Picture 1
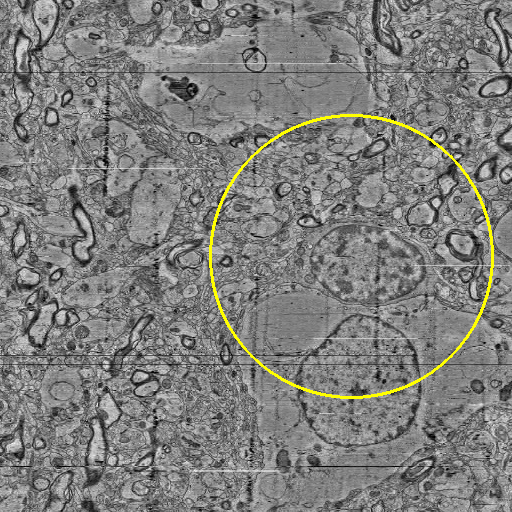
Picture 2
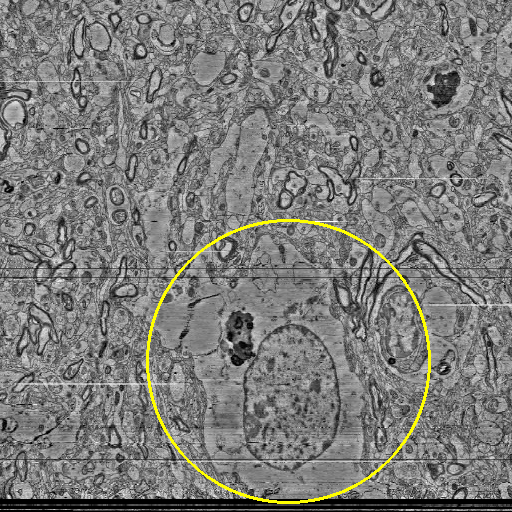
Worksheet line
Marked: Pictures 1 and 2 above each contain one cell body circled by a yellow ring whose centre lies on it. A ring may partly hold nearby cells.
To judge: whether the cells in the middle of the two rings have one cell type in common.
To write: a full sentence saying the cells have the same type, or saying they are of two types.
The cells in the middle of the rings in Picture 1 and Picture 2 are of two types.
